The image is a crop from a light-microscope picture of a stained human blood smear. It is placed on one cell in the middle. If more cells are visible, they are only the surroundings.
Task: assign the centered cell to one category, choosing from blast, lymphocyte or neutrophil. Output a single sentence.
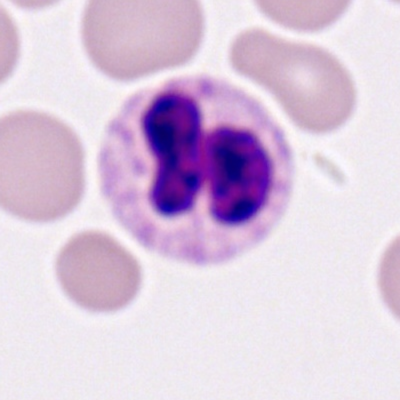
The crop centres on a single cell, and that cell is a neutrophil.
